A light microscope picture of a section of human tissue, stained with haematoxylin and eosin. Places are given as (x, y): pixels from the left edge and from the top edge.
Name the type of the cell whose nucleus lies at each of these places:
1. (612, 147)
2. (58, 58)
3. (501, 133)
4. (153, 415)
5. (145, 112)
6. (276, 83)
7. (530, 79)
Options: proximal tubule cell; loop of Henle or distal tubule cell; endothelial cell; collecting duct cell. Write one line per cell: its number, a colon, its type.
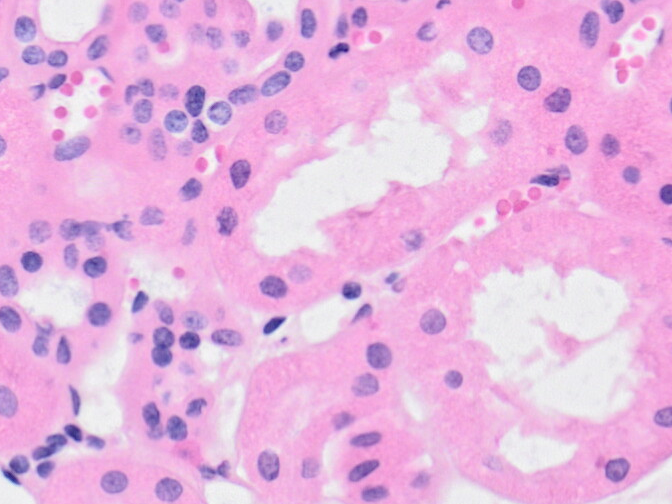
1: proximal tubule cell
2: collecting duct cell
3: proximal tubule cell
4: collecting duct cell
5: collecting duct cell
6: collecting duct cell
7: proximal tubule cell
